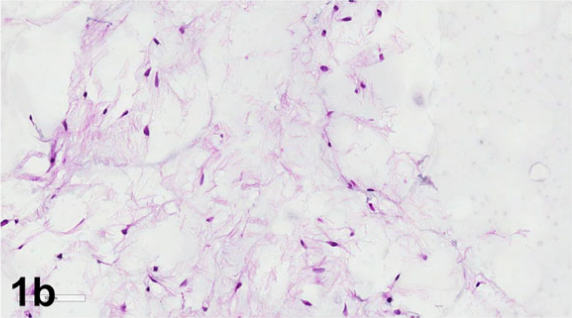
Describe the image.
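A pale, almost empty background crossed by fine pink fibrillary strands holds few, widely scattered small cells with dark, oval to elongated nuclei and thin wisps of cytoplasm. These are small bland cells embedded in myxoid matrix.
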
